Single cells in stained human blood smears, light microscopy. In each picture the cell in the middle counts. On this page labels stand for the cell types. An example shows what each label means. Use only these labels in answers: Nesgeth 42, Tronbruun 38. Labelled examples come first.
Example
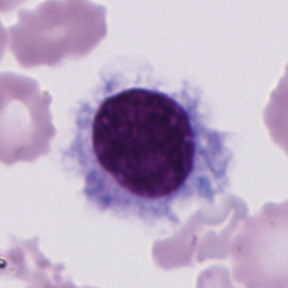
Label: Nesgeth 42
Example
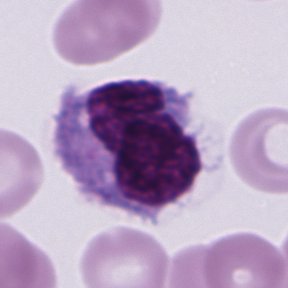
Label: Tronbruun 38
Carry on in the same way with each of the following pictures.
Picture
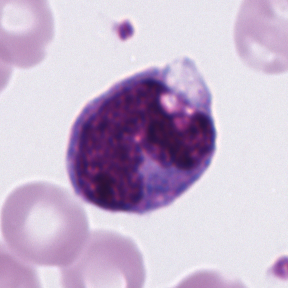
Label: Tronbruun 38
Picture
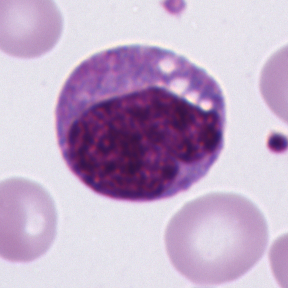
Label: Tronbruun 38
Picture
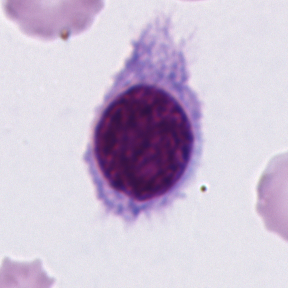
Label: Nesgeth 42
